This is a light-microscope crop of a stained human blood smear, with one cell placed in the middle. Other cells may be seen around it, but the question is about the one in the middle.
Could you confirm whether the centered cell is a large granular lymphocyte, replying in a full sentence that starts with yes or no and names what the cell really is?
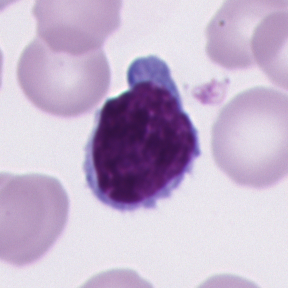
No, the middle cell is classified as a typical lymphocyte instead of a large granular lymphocyte.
